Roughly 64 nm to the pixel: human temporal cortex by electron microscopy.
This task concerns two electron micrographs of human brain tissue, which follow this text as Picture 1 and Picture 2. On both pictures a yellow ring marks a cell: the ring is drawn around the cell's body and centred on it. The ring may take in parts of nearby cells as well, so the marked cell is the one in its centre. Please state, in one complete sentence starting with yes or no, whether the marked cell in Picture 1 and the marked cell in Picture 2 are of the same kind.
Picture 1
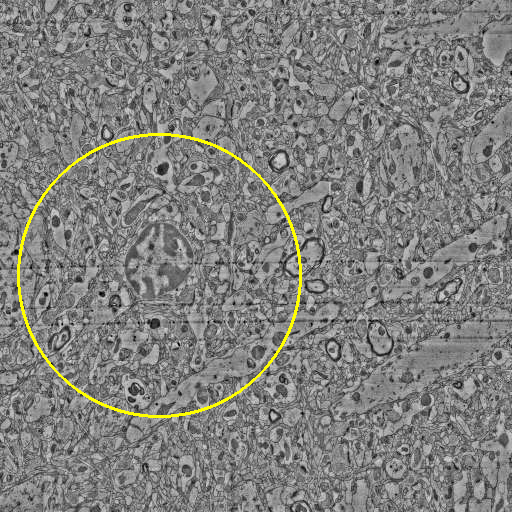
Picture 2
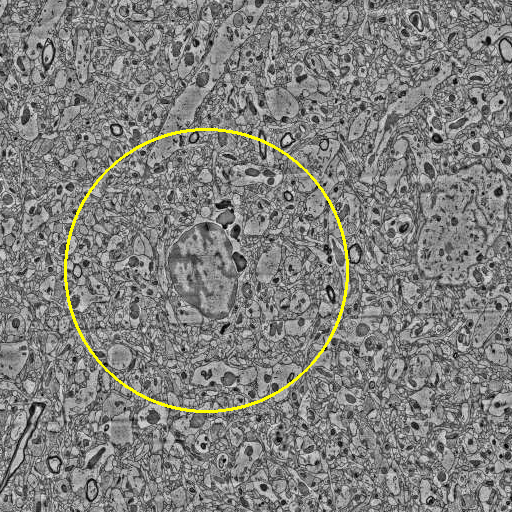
Yes, the marked cells in both pictures are of the same kind.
